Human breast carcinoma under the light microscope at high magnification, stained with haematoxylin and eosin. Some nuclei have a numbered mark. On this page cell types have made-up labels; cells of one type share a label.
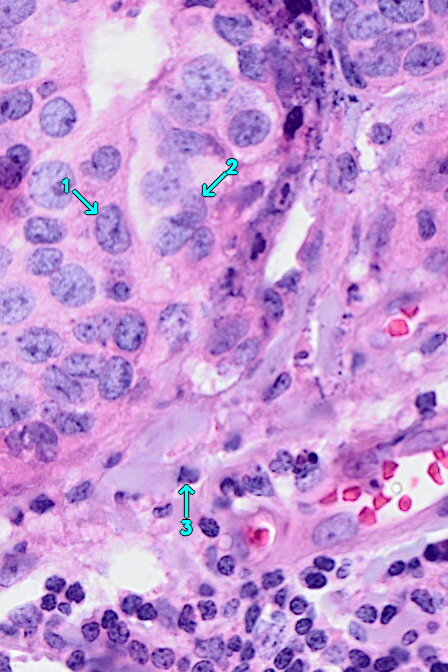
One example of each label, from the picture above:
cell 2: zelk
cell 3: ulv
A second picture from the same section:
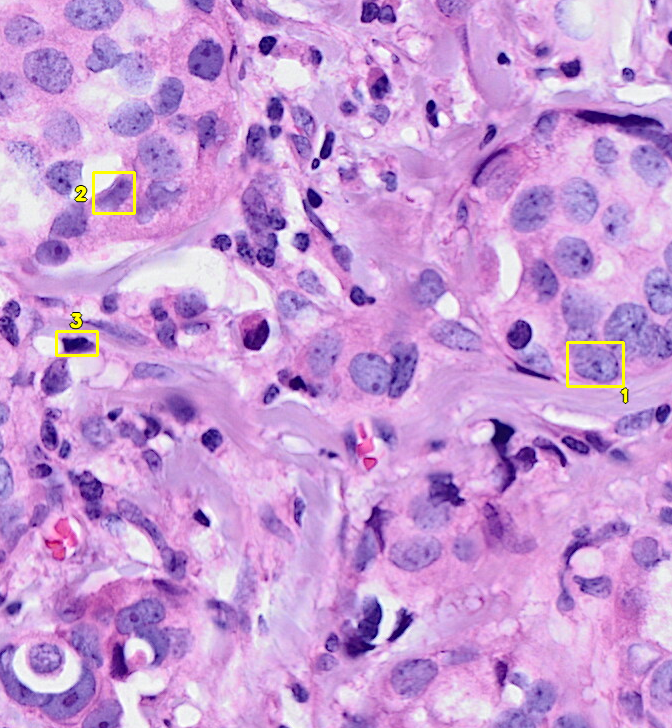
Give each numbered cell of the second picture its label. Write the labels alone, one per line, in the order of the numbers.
zelk
zelk
ulv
